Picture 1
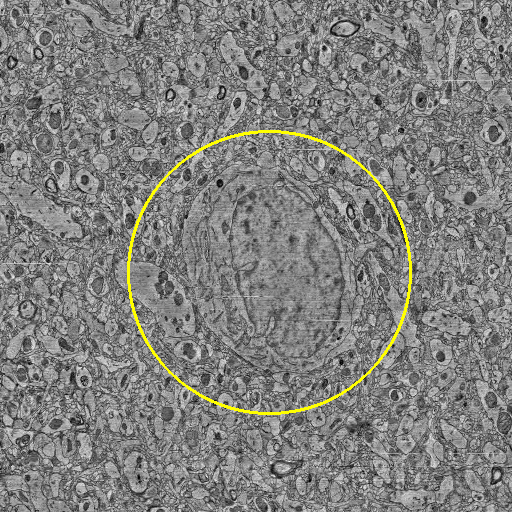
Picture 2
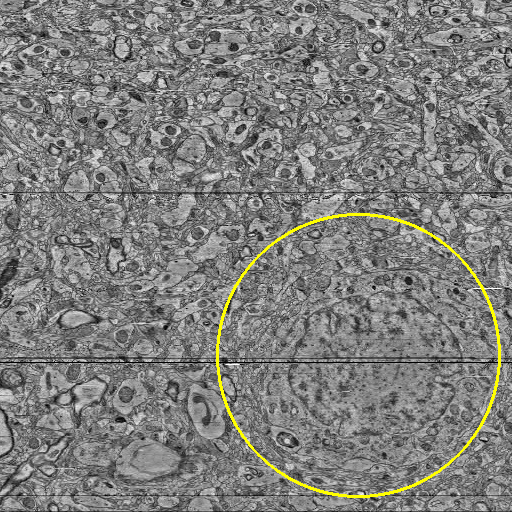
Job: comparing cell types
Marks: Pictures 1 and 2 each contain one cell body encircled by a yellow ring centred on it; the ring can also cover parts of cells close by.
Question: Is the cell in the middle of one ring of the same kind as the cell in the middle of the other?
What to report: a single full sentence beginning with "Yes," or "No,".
Yes, the cell at the ring centre in Picture 1 and its partner in Picture 2 are of one kind.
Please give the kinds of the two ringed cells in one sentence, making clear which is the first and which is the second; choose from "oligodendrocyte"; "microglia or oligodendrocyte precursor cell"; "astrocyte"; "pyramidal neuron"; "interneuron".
Each of the two cells is an interneuron.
